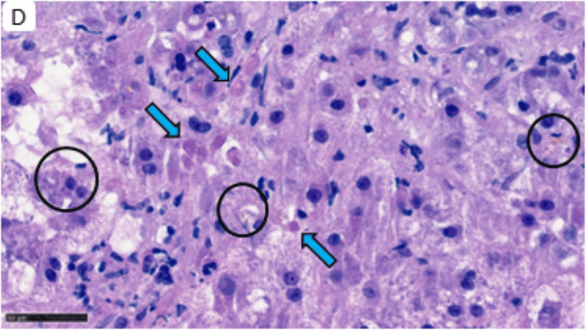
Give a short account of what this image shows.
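Here are hepatocytes with pink cytoplasm and round nuclei, some swollen and vacuolated. Among them lie small, round, intensely pink bodies smaller than a liver cell, and in places tiny yellow-brown deposits sit between or within the hepatocytes.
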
